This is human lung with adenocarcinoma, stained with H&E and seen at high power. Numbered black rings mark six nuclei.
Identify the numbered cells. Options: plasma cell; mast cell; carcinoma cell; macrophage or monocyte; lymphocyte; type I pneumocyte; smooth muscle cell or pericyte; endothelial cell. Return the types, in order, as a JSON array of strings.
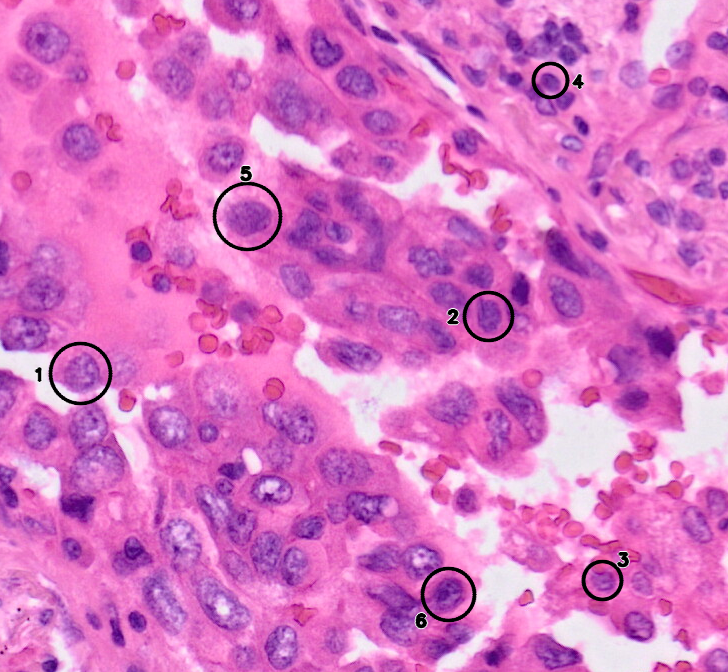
["carcinoma cell", "carcinoma cell", "macrophage or monocyte", "lymphocyte", "carcinoma cell", "carcinoma cell"]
